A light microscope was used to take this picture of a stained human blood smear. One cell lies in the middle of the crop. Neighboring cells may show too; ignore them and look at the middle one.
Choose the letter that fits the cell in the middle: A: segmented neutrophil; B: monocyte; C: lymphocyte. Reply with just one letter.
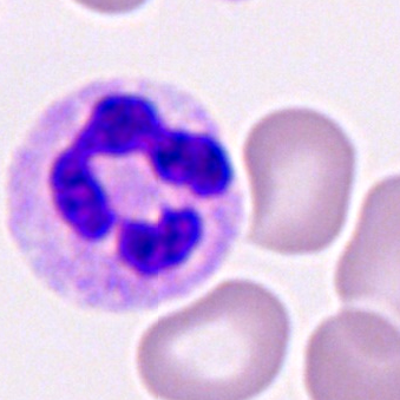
A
